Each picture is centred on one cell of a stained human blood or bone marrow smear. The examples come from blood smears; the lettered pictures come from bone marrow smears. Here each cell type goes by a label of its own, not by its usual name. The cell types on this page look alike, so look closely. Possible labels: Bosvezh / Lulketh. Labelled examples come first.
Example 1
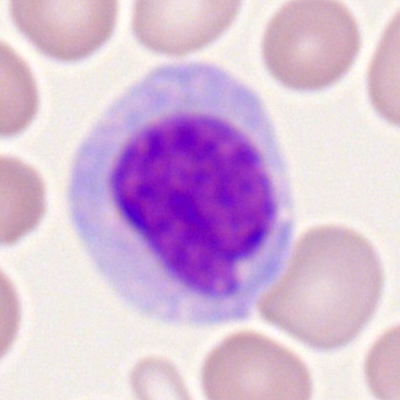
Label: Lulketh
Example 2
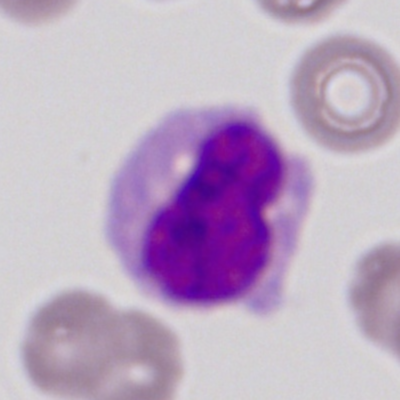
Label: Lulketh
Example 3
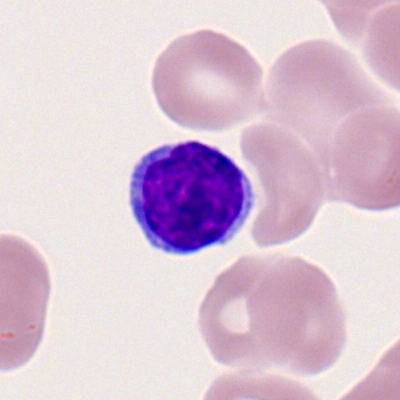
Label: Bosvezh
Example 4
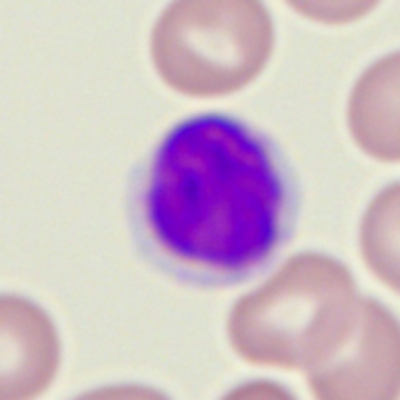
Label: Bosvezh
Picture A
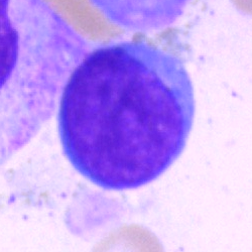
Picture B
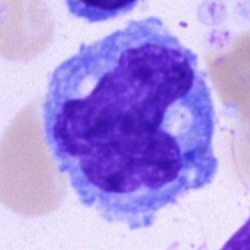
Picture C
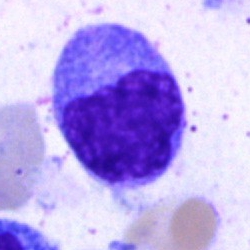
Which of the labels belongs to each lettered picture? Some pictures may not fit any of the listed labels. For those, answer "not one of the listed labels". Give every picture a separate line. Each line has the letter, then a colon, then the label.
A: not one of the listed labels
B: Lulketh
C: Lulketh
